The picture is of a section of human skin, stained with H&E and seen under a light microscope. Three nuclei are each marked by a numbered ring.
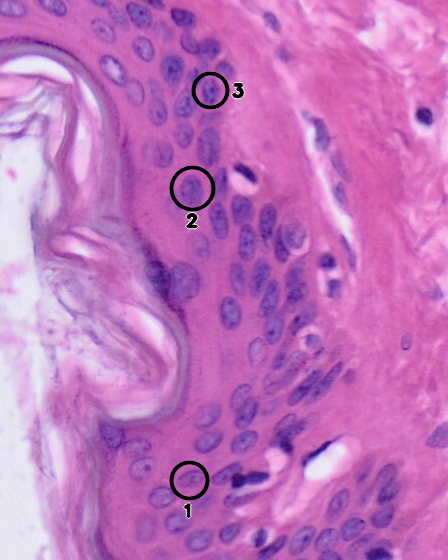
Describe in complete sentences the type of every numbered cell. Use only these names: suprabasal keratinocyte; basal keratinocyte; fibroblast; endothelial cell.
Cells 1 and 2 are suprabasal keratinocytes. Cell 3 is a basal keratinocyte.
